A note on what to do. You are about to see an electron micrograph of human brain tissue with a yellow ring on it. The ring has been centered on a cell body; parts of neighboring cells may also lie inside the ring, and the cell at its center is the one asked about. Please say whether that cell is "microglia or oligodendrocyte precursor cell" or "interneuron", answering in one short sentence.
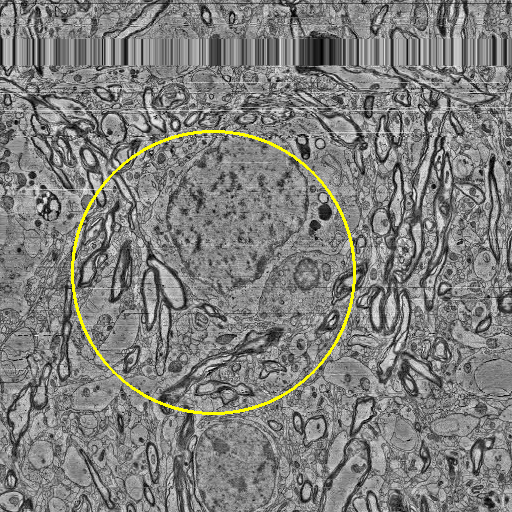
The yellow ring sits on an interneuron.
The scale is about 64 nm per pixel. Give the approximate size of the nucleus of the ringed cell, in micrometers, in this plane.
The nucleus has a long axis of about 11 micrometres and a short axis of about 9 micrometres in this plane.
